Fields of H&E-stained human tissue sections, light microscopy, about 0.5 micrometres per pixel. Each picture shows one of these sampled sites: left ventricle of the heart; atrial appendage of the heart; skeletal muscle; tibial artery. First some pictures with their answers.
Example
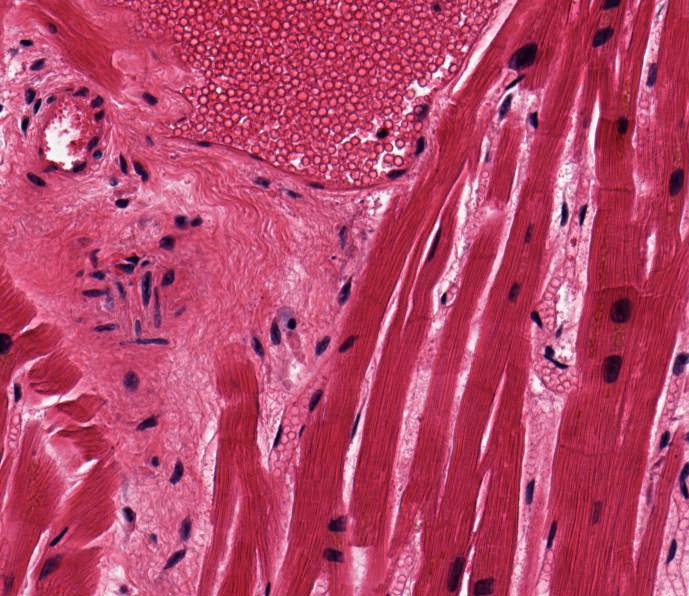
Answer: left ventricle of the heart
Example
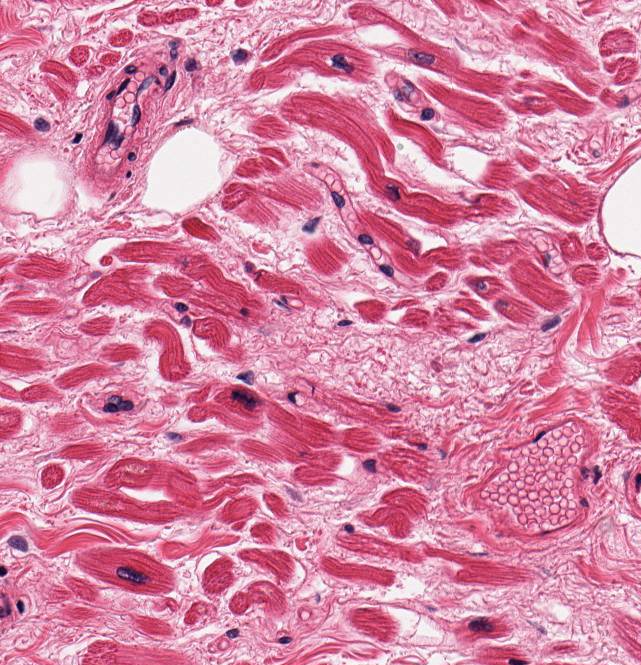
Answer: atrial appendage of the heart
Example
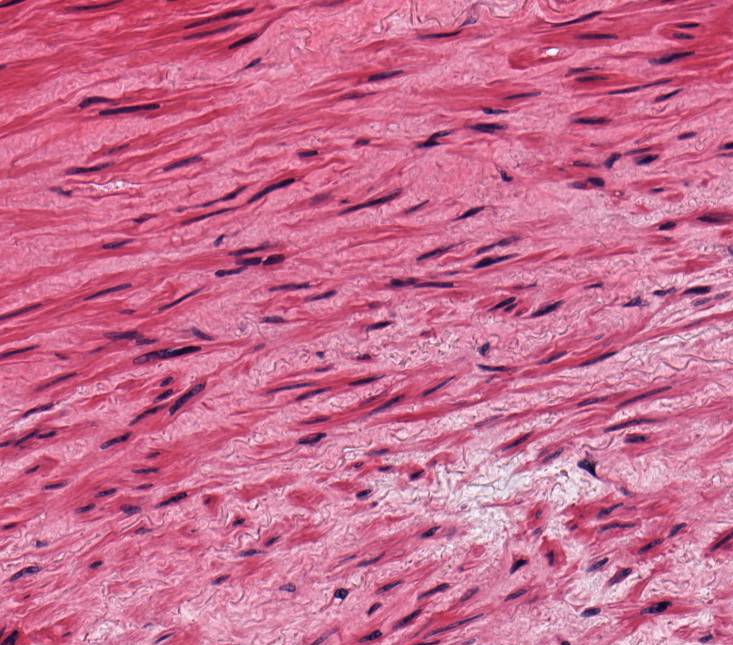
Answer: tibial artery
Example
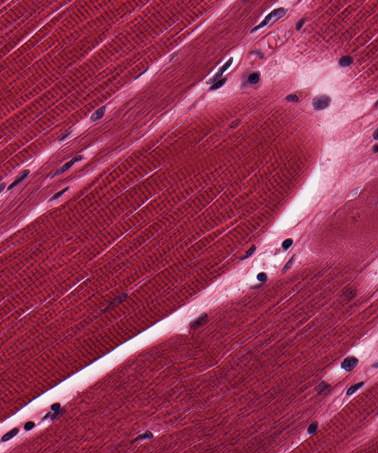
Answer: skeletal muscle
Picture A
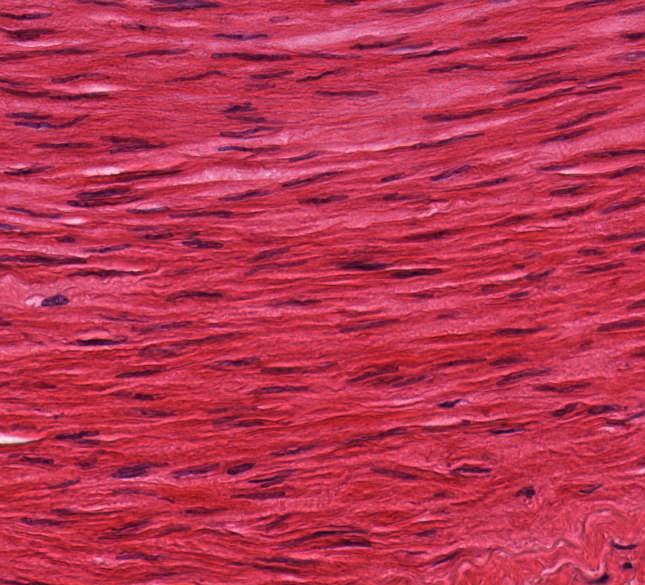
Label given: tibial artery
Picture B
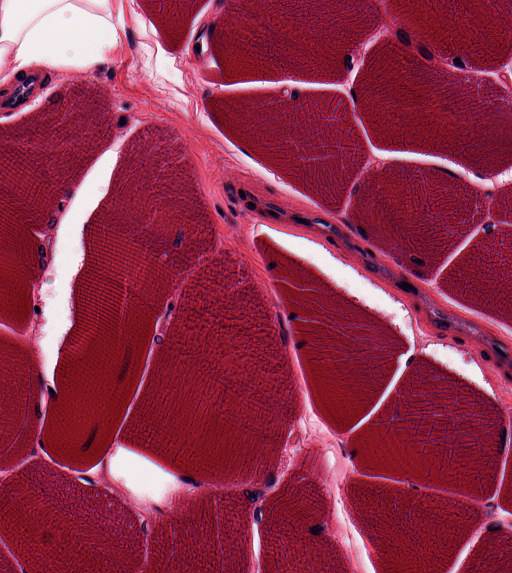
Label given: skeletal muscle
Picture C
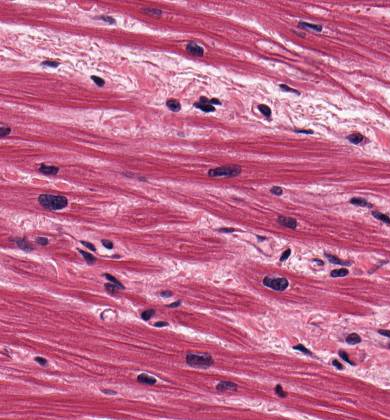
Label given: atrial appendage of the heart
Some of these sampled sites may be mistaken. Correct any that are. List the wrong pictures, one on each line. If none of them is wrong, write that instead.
No label is wrong.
